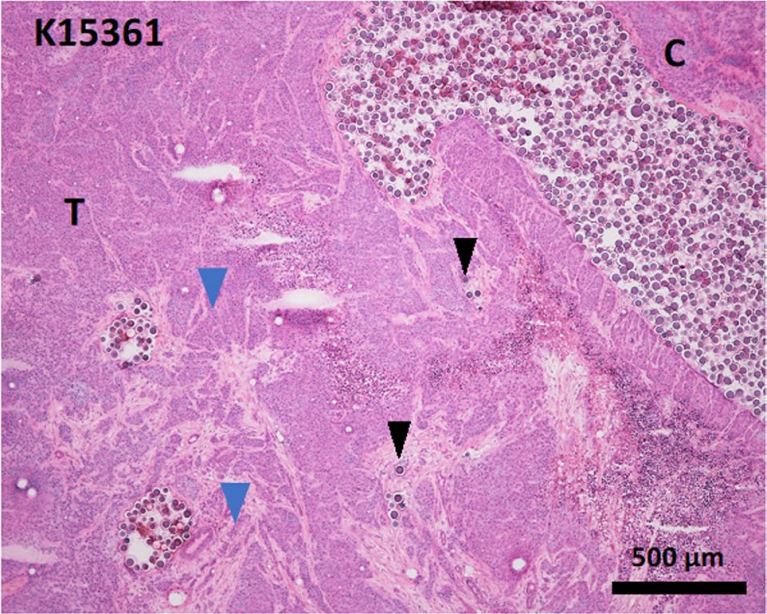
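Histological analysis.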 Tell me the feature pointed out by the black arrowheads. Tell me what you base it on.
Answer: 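Isolated microspheres in small capillaries. Small round uniform beads lying in a short row within the tissue. Beads match in size the many round beads packed in the large mass at upper right.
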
